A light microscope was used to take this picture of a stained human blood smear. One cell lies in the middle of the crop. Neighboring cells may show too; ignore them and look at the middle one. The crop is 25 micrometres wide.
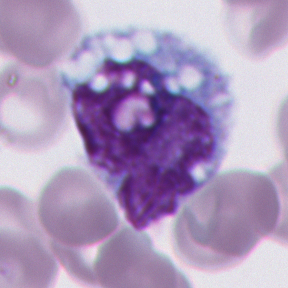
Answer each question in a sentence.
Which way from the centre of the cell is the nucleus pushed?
The nucleus sits off-centre, toward the lower left.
